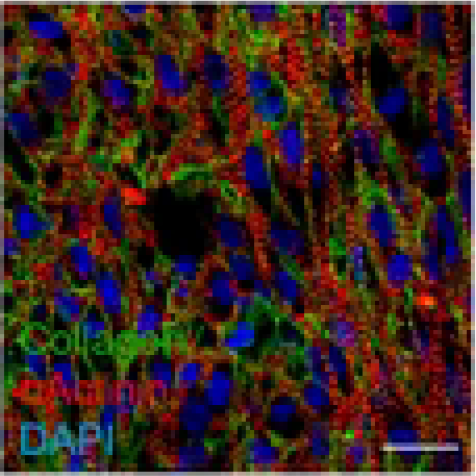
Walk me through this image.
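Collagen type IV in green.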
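Densely packed heart muscle cells, elongated and running roughly in one diagonal direction, fill the field. Their red cytoplasm shows regular cross-striations, fine repeated bands across the long axis of each cell. Oval blue nuclei, mostly single, sit within the cells and are elongated along the same axis. A green meshwork of thin strands weaves between and around the cells, outlining their borders like a sleeve. The orderly striations and parallel alignment point to well organised, maturing cardiac muscle tissue surrounded by a basement-membrane-like network.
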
